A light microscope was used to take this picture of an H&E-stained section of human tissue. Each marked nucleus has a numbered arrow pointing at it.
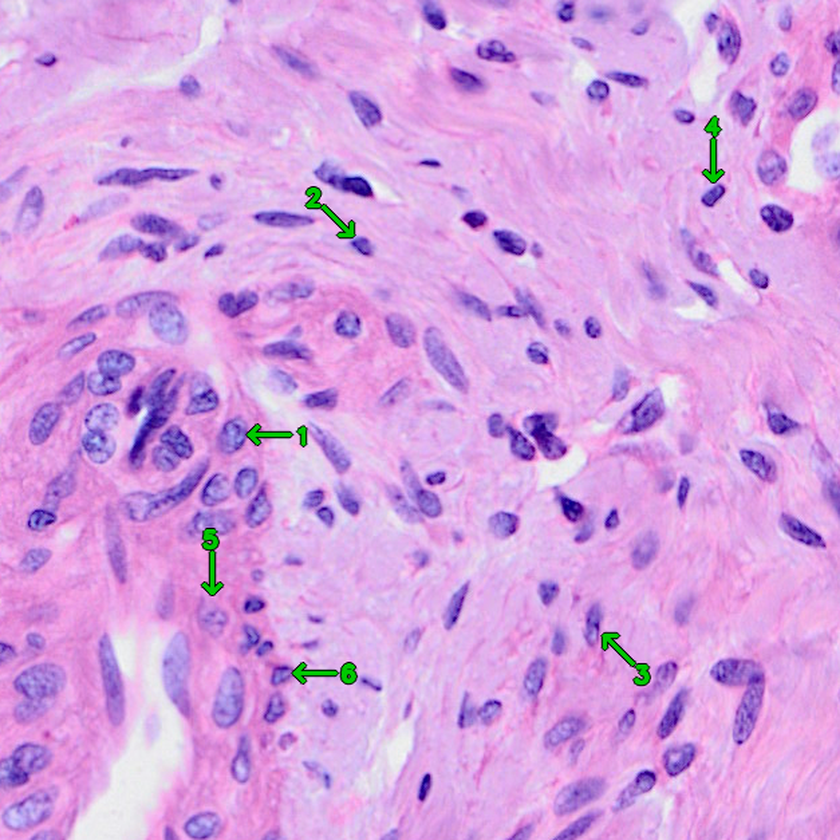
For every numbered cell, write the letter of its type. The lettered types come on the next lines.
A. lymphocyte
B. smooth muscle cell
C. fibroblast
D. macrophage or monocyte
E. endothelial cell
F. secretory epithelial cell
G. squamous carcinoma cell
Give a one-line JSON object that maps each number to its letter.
{"1": "B", "2": "C", "3": "B", "4": "C", "5": "B", "6": "B"}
